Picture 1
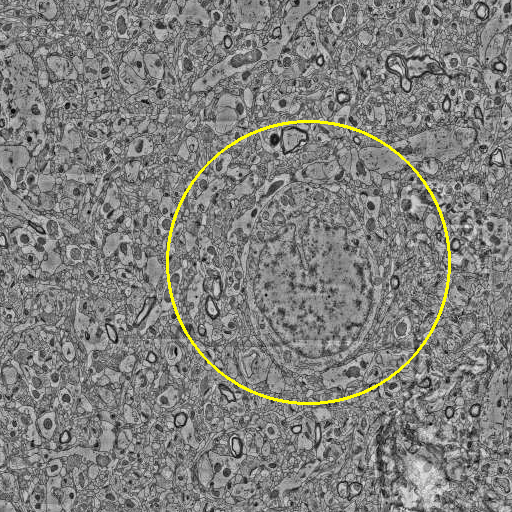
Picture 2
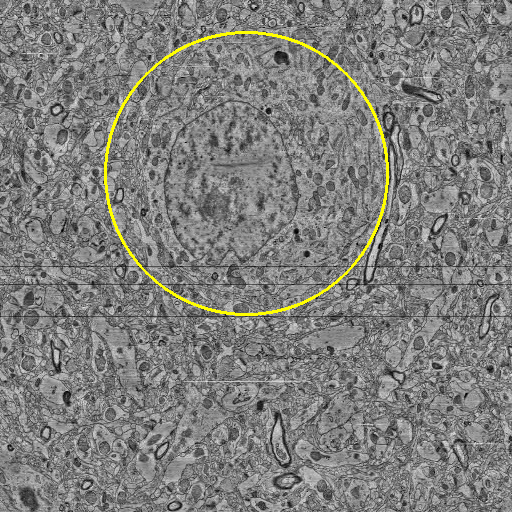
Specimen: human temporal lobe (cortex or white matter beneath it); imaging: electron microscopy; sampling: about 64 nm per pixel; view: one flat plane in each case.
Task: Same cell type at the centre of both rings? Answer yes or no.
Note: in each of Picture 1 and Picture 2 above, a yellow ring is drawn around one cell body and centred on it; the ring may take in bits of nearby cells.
yes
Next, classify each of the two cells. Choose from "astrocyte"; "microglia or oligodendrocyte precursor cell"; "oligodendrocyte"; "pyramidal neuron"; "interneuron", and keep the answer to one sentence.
Each cell, in the first picture and the second, is an interneuron.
